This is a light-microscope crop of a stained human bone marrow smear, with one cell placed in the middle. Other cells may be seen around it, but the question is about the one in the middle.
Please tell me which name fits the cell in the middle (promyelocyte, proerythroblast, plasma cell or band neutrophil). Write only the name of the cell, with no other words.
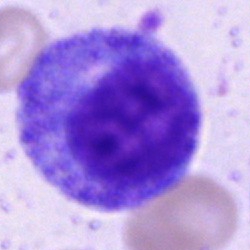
promyelocyte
